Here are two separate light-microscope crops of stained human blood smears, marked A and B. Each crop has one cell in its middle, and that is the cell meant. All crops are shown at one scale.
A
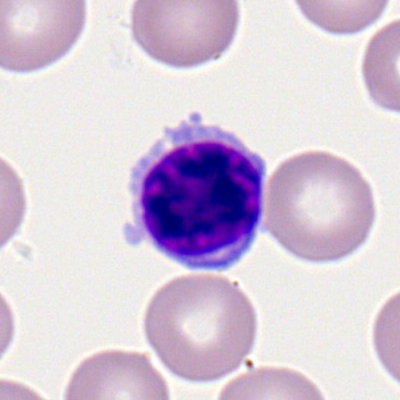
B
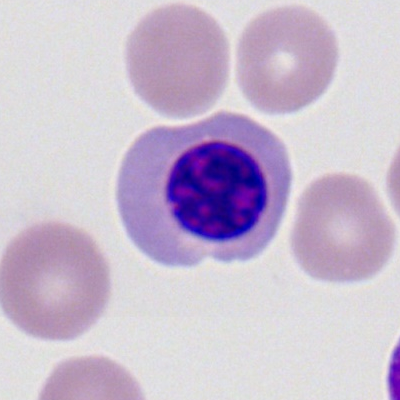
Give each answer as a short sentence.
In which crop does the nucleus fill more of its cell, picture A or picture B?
It is the cell in picture A that is filled more by its nucleus.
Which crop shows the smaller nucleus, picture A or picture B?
The nucleus in picture B is smaller; the one in picture A has about 1.5 times its area.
